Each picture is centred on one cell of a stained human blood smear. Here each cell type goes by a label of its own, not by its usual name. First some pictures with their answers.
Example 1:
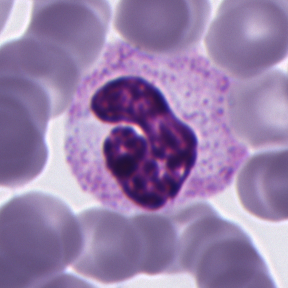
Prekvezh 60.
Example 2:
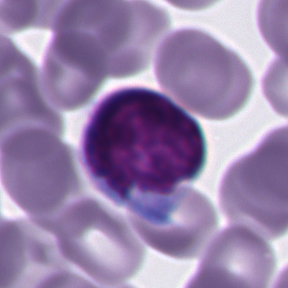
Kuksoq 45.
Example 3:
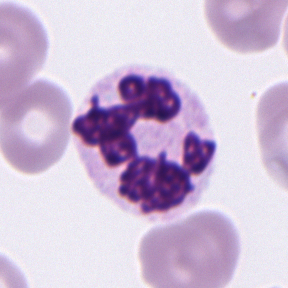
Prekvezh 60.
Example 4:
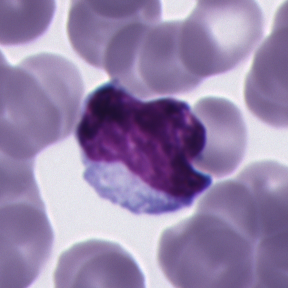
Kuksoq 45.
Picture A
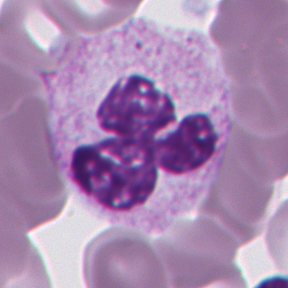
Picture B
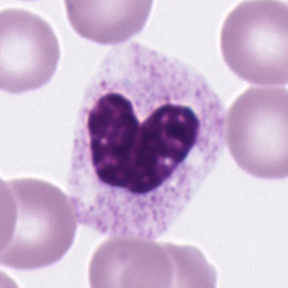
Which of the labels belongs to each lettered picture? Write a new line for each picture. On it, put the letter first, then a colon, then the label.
A: Prekvezh 60.
B: Prekvezh 60.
